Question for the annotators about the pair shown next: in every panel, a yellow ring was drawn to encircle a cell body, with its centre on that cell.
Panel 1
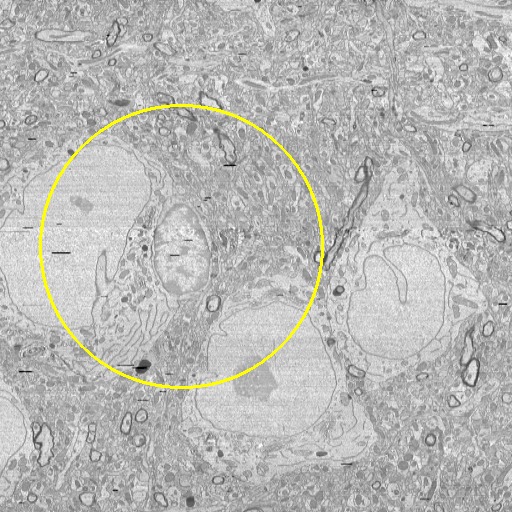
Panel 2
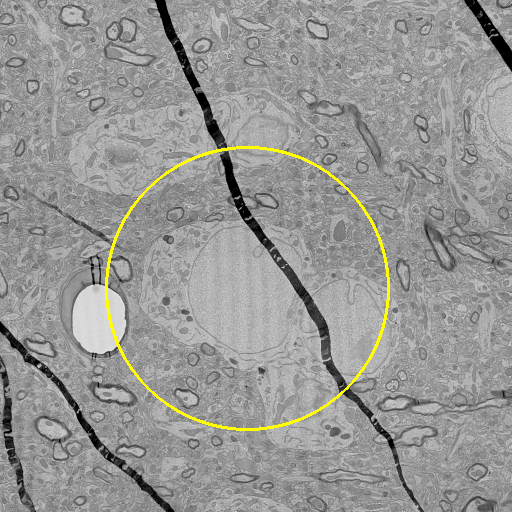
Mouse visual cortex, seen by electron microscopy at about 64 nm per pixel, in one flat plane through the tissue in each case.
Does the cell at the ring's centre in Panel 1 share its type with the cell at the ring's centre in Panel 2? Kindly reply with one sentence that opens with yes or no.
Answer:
No, in Panels 1 and 2 the cells at the ring centres belong to separate types.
